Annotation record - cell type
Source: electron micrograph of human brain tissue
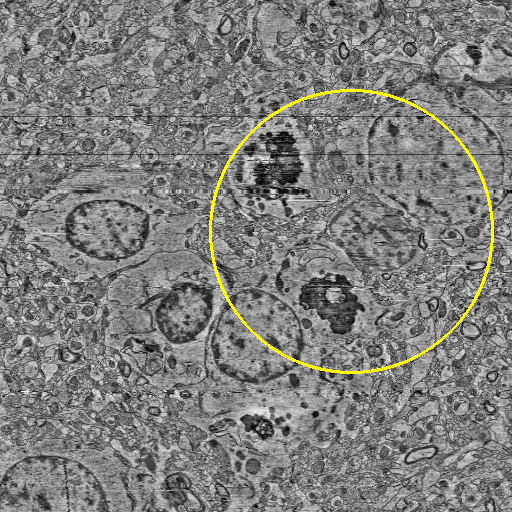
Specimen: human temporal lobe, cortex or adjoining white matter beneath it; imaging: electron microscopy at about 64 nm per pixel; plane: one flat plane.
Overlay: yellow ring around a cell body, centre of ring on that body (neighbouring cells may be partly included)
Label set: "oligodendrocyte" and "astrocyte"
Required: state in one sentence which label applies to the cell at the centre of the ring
This cell should be labelled as an oligodendrocyte.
